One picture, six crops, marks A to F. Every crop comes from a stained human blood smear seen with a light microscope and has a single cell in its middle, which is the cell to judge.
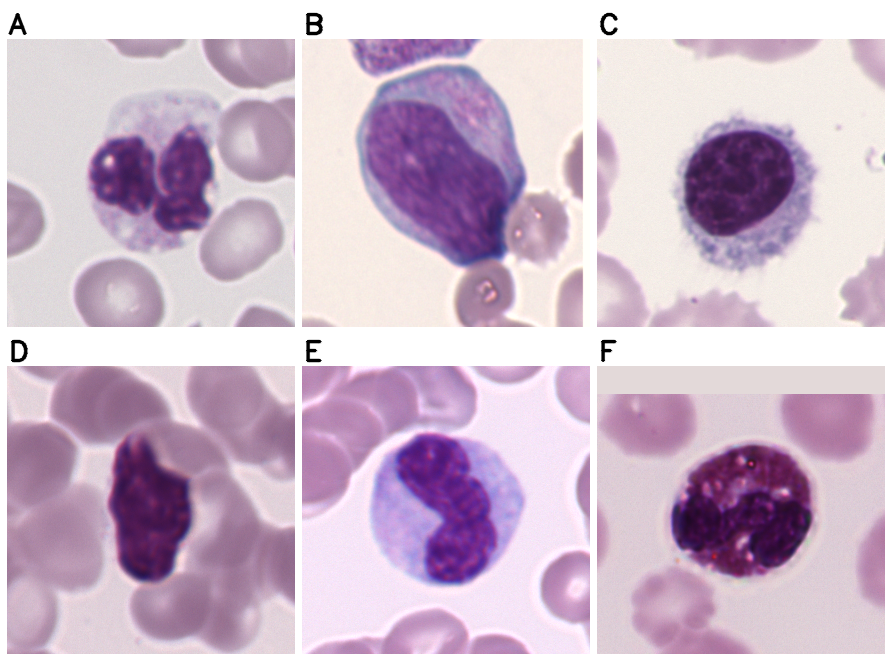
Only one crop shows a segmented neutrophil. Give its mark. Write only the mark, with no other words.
A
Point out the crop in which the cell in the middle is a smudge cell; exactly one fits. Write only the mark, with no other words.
D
